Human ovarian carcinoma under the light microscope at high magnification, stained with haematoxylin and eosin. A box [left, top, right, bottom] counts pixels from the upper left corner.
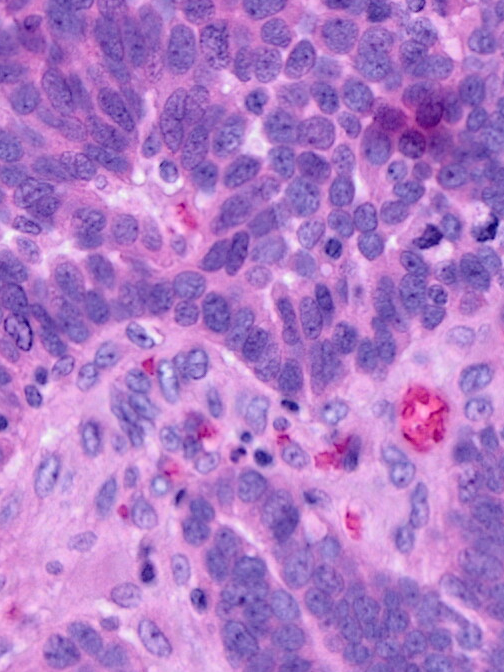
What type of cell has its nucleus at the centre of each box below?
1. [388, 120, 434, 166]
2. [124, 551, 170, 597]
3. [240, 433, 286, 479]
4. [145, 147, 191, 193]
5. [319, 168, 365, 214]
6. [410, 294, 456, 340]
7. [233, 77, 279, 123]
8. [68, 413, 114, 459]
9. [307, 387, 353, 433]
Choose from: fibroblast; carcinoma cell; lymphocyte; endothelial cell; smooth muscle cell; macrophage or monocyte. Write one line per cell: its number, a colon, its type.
1: carcinoma cell
2: lymphocyte
3: lymphocyte
4: macrophage or monocyte
5: carcinoma cell
6: carcinoma cell
7: macrophage or monocyte
8: fibroblast
9: fibroblast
